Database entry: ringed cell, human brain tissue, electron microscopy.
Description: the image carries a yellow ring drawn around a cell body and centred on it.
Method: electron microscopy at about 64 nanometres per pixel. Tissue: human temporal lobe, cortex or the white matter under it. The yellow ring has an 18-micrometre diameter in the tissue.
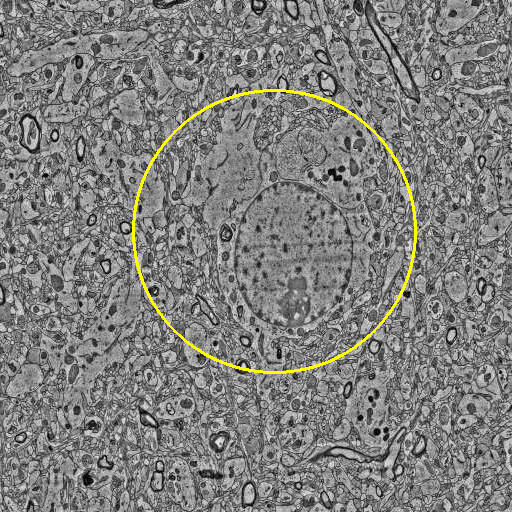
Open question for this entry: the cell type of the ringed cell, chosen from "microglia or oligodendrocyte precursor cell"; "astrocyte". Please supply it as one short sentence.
The ringed cell is an astrocyte.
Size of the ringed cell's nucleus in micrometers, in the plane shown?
The nucleus measures about 9 by 8 micrometres in this plane.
